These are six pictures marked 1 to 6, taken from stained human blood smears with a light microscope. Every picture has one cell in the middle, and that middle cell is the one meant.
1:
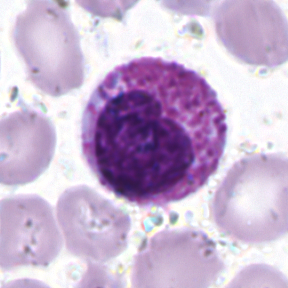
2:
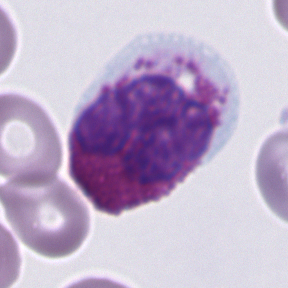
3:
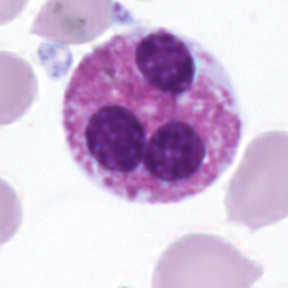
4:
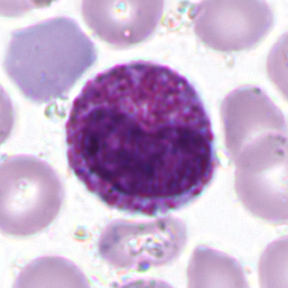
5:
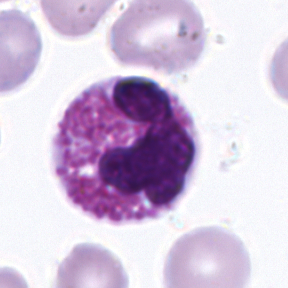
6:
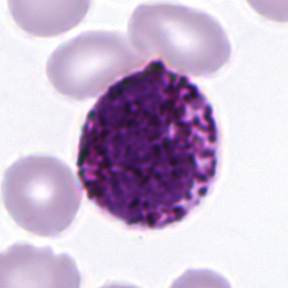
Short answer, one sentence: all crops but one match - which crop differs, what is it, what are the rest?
Crop 6 does not match the others; it shows a basophil, and they show eosinophils.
